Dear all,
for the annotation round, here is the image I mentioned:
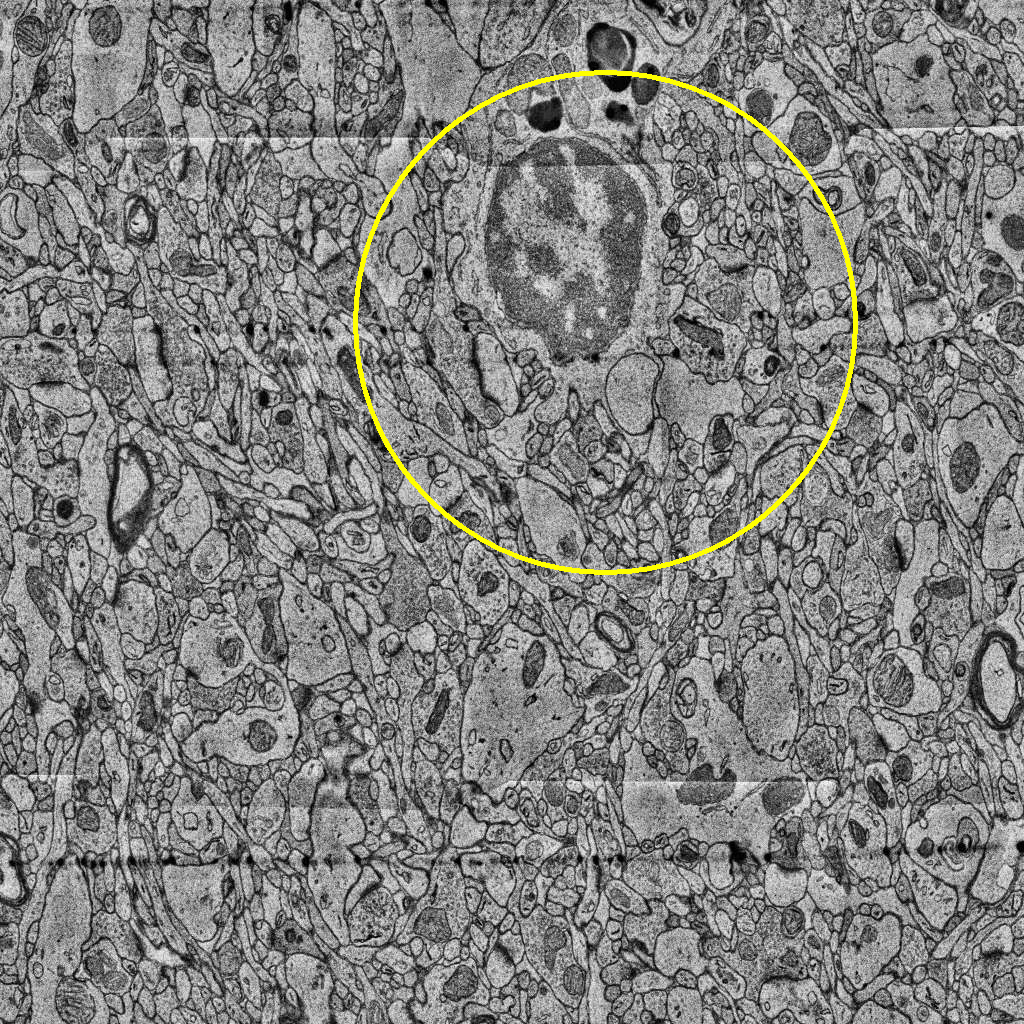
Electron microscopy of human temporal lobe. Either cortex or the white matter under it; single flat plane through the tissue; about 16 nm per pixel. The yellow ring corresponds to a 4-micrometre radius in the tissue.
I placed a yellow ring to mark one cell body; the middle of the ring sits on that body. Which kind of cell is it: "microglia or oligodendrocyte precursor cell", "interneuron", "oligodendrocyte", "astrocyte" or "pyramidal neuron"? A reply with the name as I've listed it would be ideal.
microglia or oligodendrocyte precursor cell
